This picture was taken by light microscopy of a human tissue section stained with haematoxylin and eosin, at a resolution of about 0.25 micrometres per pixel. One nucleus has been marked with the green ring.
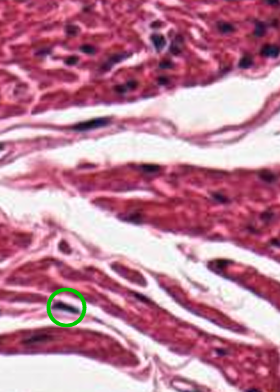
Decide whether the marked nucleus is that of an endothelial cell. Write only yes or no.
no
